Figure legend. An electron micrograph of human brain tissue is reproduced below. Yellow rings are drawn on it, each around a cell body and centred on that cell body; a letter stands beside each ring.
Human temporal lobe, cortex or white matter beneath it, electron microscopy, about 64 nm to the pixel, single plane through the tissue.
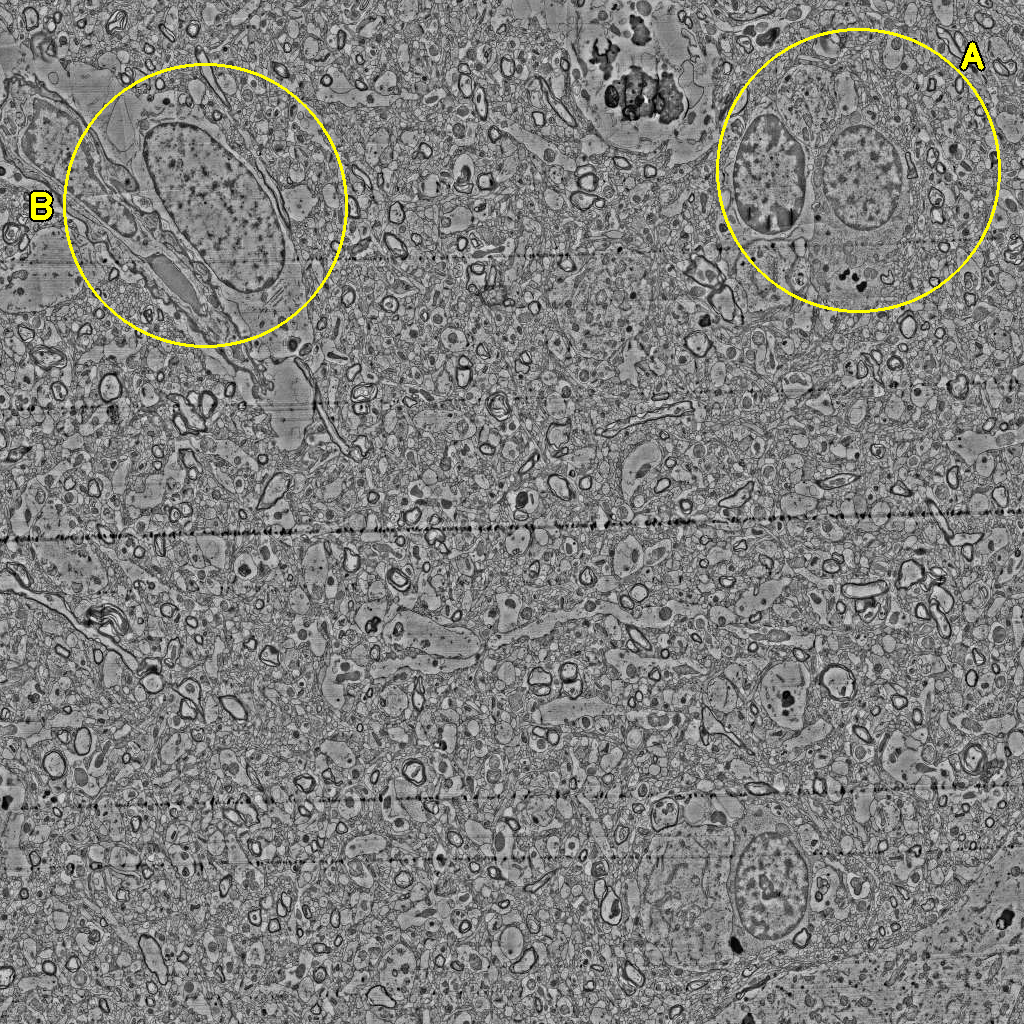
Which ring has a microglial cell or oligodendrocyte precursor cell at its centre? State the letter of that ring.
B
